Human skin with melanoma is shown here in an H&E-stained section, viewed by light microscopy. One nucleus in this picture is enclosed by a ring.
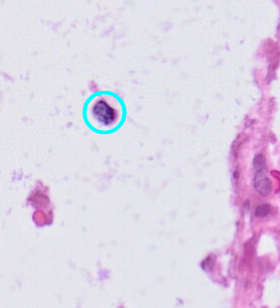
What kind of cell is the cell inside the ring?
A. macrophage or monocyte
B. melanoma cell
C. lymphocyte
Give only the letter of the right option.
C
